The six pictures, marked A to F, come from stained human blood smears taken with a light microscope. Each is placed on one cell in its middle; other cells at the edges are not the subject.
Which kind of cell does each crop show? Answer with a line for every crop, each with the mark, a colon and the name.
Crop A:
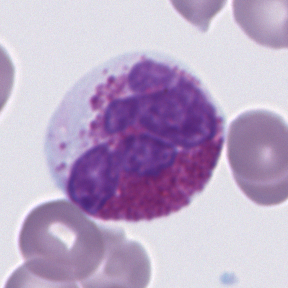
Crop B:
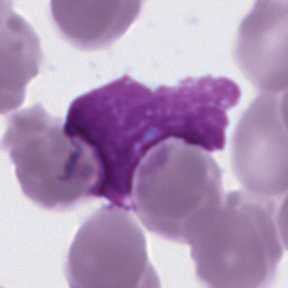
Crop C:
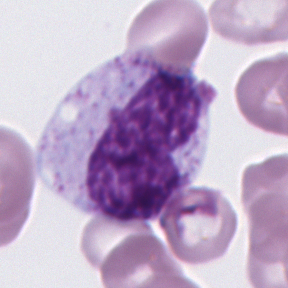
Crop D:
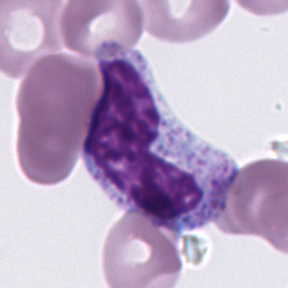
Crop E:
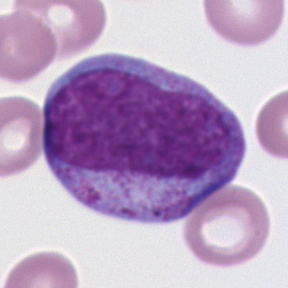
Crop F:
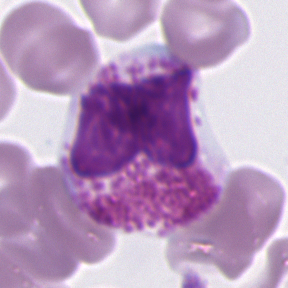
A: eosinophil
B: smudge cell
C: metamyelocyte
D: metamyelocyte
E: atypical promyelocyte
F: eosinophil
